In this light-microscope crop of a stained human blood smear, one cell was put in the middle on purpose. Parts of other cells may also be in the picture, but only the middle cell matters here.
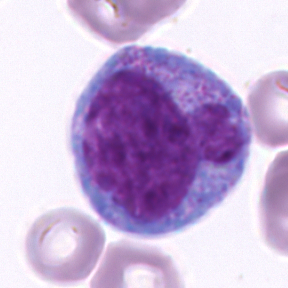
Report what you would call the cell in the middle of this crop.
promyelocyte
